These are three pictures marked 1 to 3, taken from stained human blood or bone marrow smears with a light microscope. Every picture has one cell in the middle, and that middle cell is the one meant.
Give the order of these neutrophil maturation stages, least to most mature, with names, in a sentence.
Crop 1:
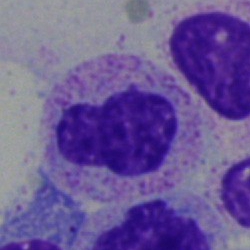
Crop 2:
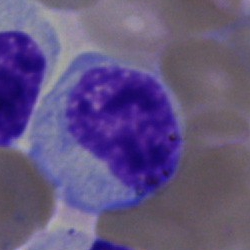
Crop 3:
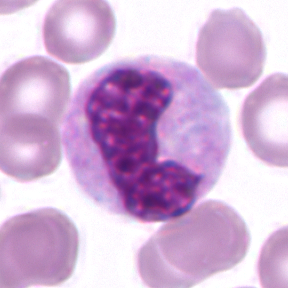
What results from ordering by maturity, least to most, is crop 2 (a myelocyte), crop 1 (a metamyelocyte) and crop 3 (a band neutrophil).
